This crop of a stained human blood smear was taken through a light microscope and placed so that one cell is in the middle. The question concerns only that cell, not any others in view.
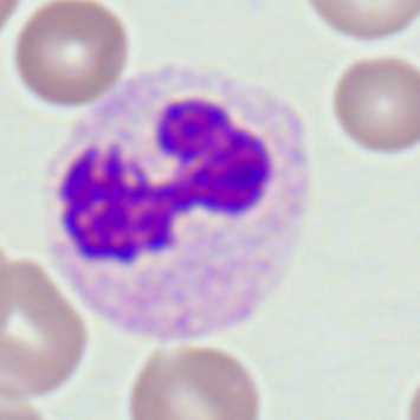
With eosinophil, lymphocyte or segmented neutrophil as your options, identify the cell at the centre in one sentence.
Answering briefly, the cell in the middle is a segmented neutrophil.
